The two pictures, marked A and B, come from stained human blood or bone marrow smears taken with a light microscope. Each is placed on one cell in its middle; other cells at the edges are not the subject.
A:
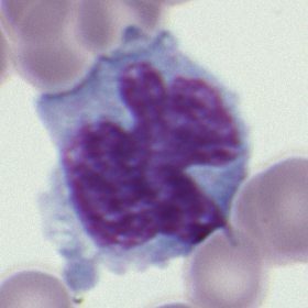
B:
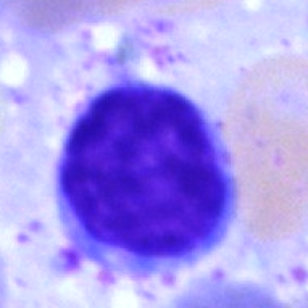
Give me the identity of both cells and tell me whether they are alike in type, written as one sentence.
No, crop A contains a monocyte; a lymphocyte is what crop B contains.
